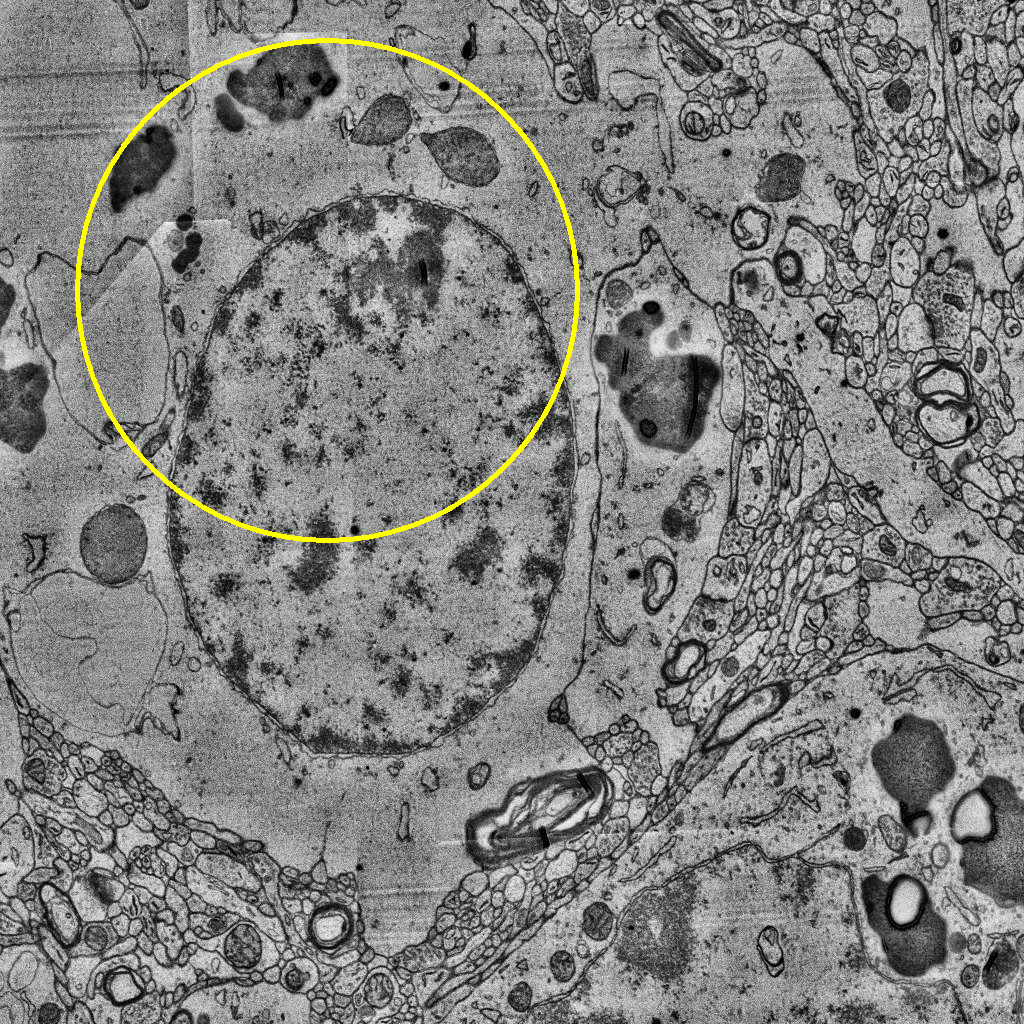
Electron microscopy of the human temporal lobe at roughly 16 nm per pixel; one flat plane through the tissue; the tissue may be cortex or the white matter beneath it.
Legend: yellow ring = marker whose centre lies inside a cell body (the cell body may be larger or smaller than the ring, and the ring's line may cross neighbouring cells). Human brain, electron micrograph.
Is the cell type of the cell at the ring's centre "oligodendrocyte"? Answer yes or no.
no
